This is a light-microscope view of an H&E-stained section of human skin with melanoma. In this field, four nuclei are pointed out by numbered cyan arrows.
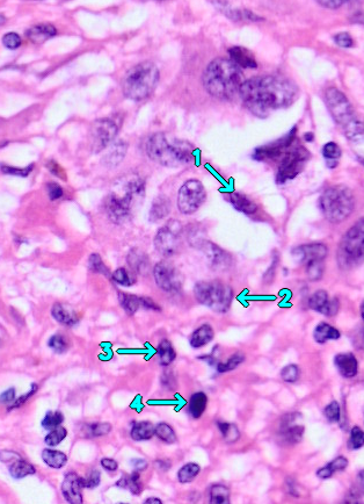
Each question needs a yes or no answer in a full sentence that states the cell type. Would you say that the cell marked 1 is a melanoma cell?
Yes, the cell that goes by number 1 is a melanoma cell.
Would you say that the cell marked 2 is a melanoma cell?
Yes, the cell pointed out as number 2 is a melanoma cell.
